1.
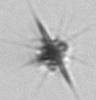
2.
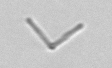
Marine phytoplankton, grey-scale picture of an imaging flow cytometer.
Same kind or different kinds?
Different: the first is a radiolarian, the second Nanoneis.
